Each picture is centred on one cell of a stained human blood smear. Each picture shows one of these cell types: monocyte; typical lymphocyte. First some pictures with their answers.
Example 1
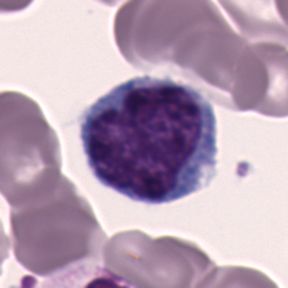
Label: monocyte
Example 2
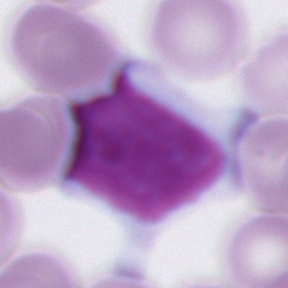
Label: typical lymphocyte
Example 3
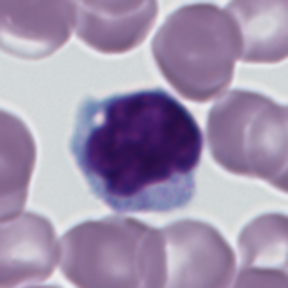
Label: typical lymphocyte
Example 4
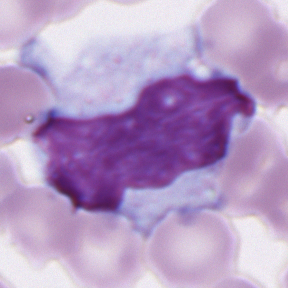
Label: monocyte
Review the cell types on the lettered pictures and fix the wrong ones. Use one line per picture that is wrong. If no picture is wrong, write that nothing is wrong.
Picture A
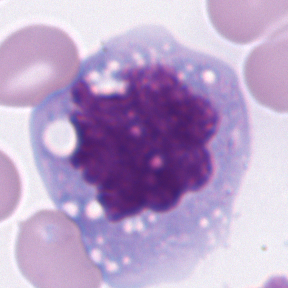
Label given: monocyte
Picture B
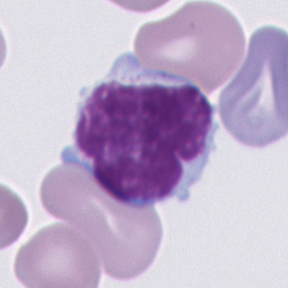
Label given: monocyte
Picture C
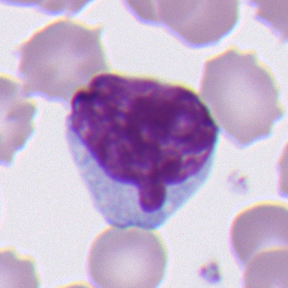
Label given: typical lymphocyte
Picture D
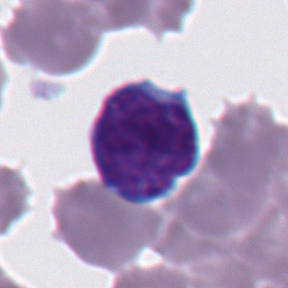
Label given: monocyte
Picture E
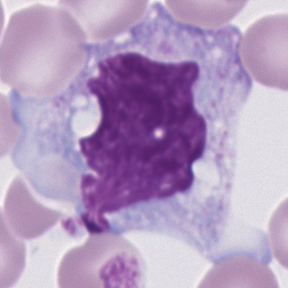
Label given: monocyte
B is labelled monocyte; correct label: typical lymphocyte
D is labelled monocyte; correct label: typical lymphocyte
